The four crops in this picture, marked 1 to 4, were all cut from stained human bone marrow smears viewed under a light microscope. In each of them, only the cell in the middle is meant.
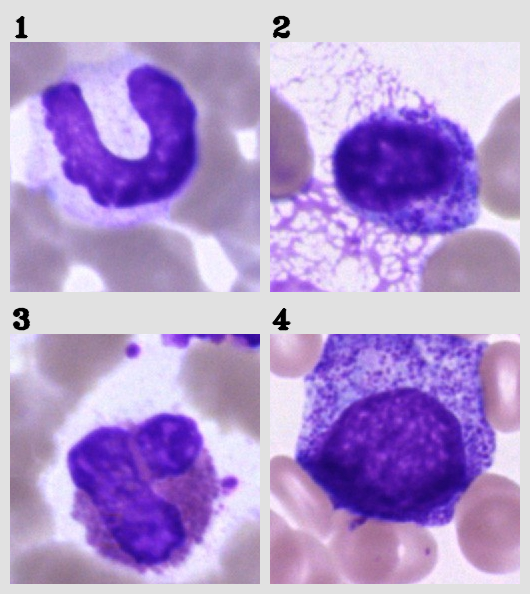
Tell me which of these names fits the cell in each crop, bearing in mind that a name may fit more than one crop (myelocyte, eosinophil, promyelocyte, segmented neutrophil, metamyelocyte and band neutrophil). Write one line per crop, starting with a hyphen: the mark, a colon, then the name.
- 1: band neutrophil
- 2: myelocyte
- 3: eosinophil
- 4: promyelocyte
